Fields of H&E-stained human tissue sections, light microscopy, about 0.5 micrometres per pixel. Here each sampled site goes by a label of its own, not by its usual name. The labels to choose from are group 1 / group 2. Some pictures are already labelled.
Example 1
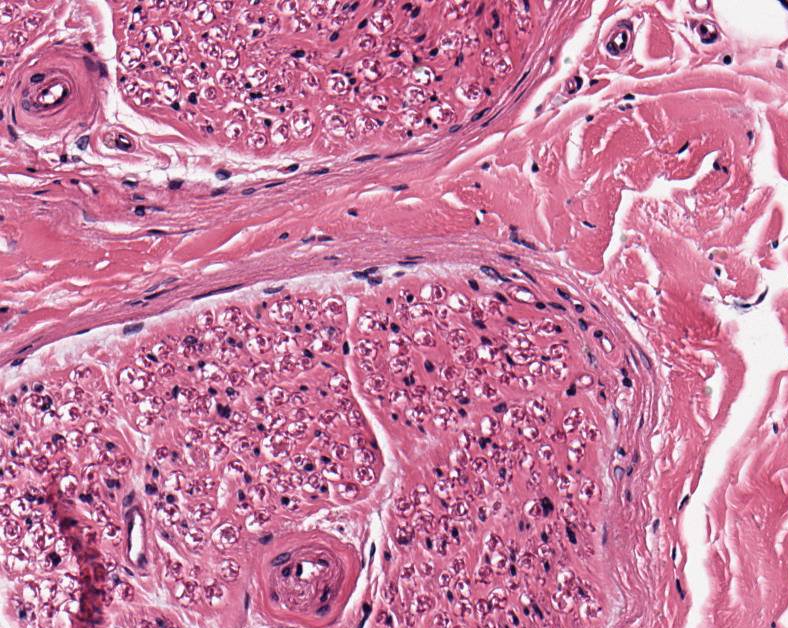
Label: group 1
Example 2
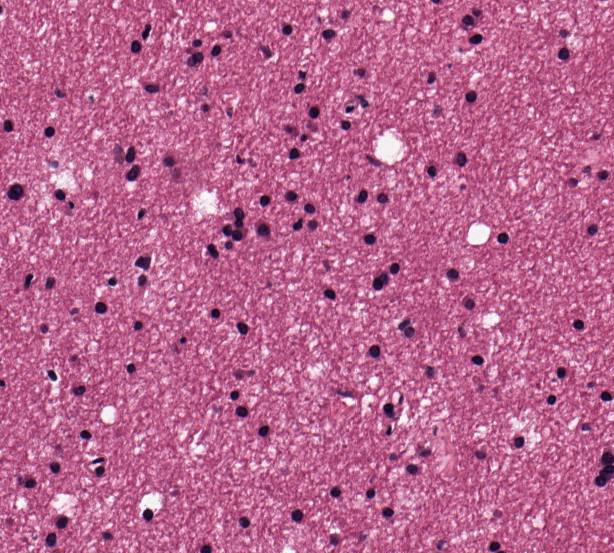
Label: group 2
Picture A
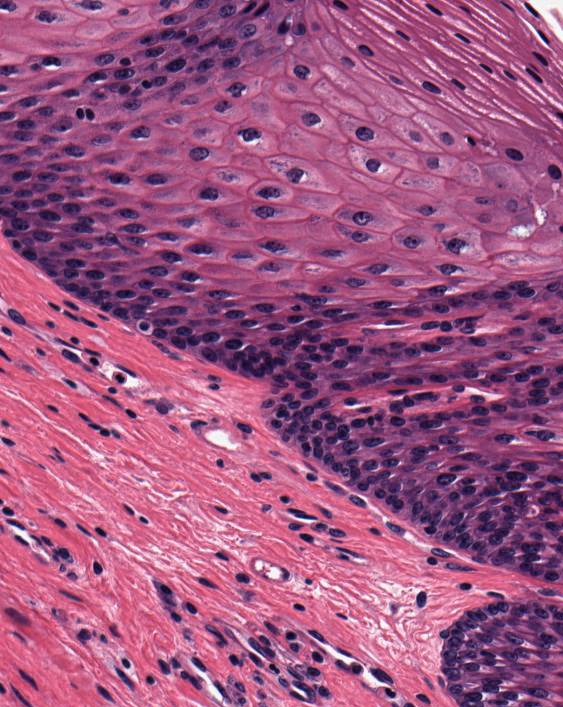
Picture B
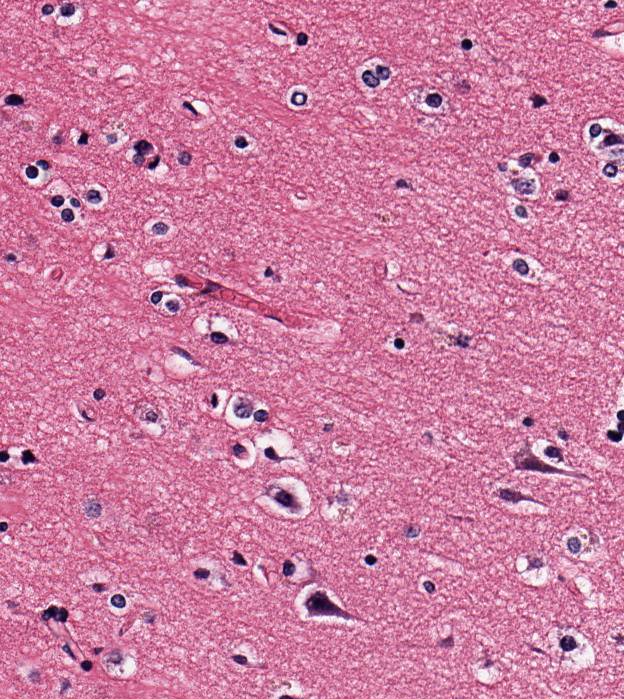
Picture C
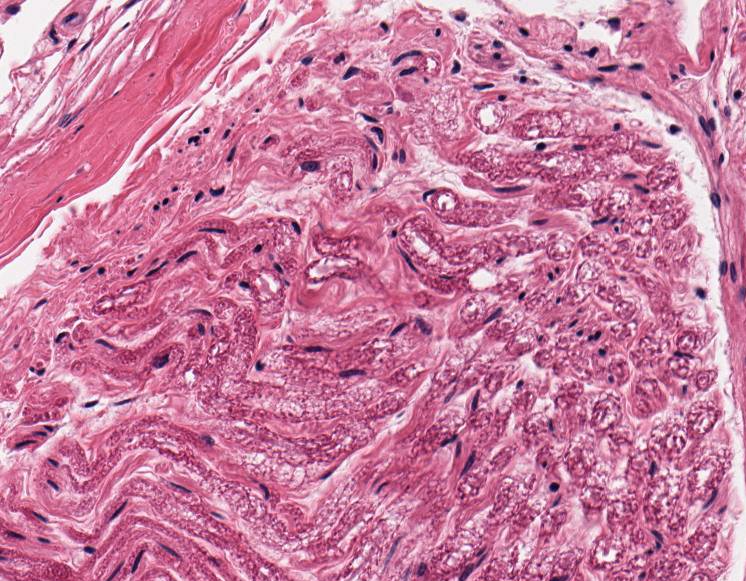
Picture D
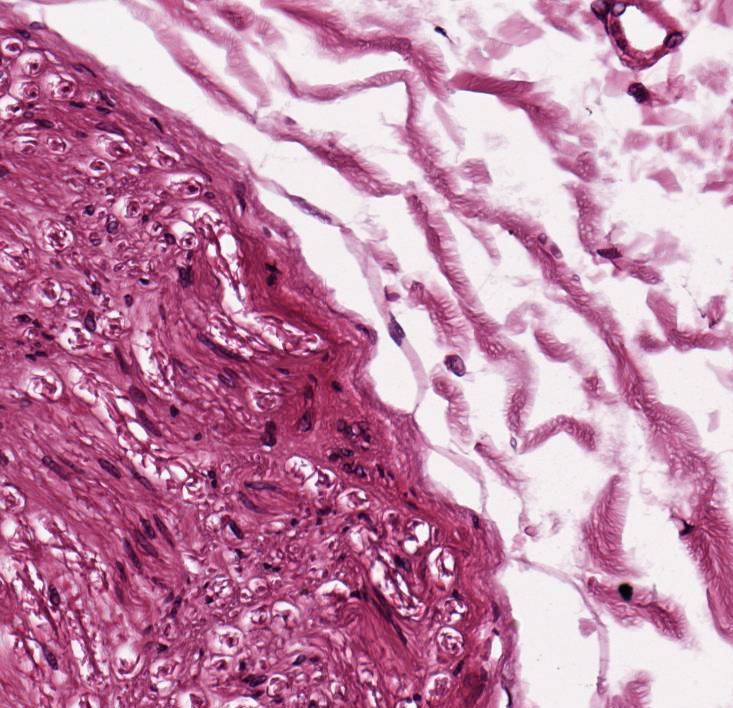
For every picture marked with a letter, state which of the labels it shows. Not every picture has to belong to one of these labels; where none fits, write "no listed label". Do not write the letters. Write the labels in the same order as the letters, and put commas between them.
no listed label, group 2, group 1, group 1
